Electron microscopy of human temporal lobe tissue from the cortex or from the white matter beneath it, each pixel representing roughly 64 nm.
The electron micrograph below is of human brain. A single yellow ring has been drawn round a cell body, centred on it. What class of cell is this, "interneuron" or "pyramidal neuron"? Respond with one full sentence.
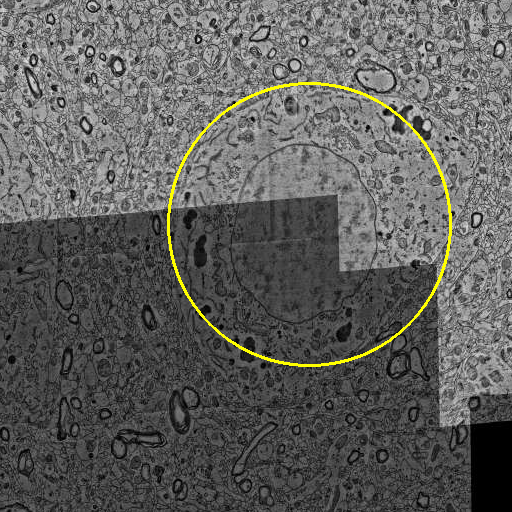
In the micrograph, the cell centred inside the yellow ring is a pyramidal neuron.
